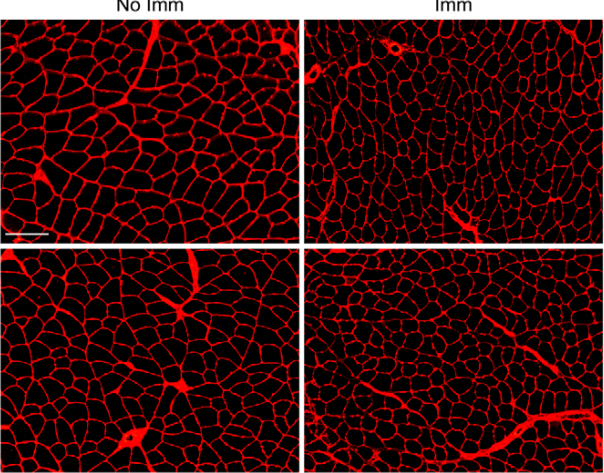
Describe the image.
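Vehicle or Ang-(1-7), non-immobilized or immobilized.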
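This block of four cross-sections shows skeletal muscle fibers outlined by thin red borders on a dark background. The fibers are polygonal and closely packed, with dark, unstained interiors. Broader red bands and bright spots lie between bundles of fibers, marking the connective tissue and small vessels. In the two images on the right the fiber profiles are smaller and more crowded than in the two images on the left. Nothing within the fibers themselves is stained.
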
